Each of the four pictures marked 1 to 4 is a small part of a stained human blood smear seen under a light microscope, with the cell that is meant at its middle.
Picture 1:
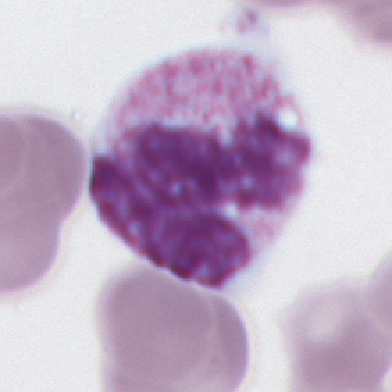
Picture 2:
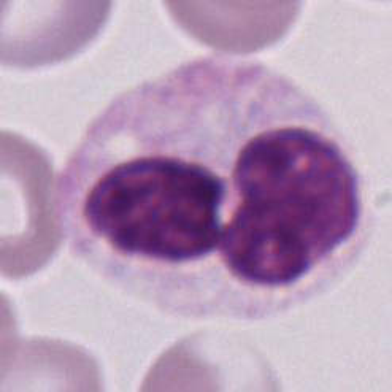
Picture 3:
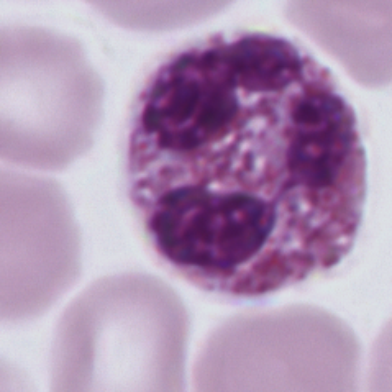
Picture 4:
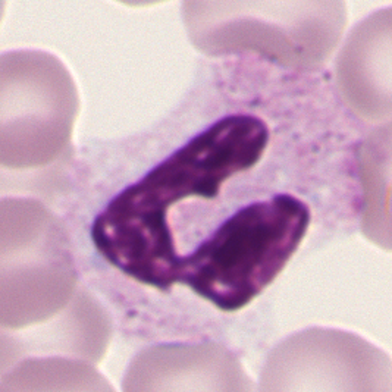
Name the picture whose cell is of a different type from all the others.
3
